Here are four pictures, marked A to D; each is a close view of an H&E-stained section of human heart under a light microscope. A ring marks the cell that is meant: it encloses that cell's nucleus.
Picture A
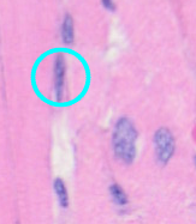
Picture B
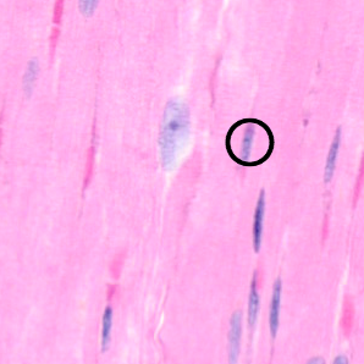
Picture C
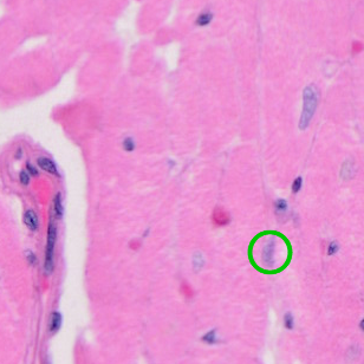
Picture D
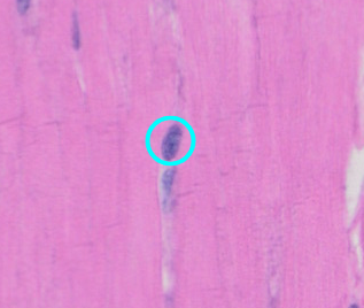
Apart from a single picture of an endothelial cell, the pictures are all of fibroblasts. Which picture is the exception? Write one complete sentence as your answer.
Picture B shows the endothelial cell.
